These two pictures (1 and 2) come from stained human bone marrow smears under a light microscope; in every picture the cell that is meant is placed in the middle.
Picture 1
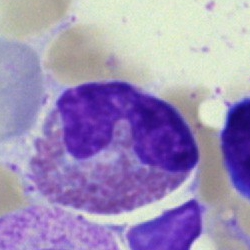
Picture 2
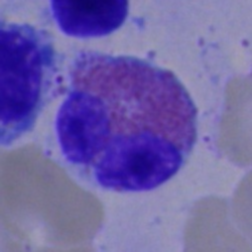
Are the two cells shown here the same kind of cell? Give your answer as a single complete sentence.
Yes, both are eosinophils.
